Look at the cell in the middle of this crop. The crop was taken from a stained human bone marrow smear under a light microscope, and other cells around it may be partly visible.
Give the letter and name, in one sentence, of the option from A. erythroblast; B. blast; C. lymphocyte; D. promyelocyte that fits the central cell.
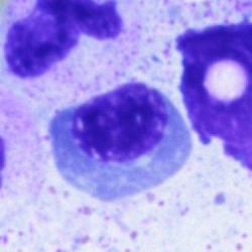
The cell positioned centrally is an erythroblast, as given in option A, which is correct.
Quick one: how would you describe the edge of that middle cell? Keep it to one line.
Around its whole circumference the outline stays smooth, free of projections.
